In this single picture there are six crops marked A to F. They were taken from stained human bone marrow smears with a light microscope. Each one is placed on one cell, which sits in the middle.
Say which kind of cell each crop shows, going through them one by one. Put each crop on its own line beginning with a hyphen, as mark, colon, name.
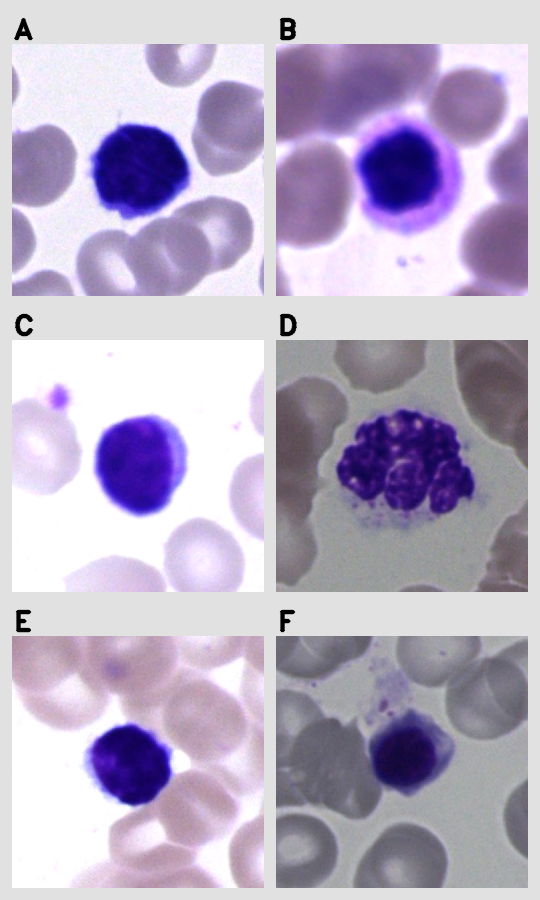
- A: lymphocyte
- B: segmented neutrophil
- C: lymphocyte
- D: segmented neutrophil
- E: lymphocyte
- F: erythroblast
